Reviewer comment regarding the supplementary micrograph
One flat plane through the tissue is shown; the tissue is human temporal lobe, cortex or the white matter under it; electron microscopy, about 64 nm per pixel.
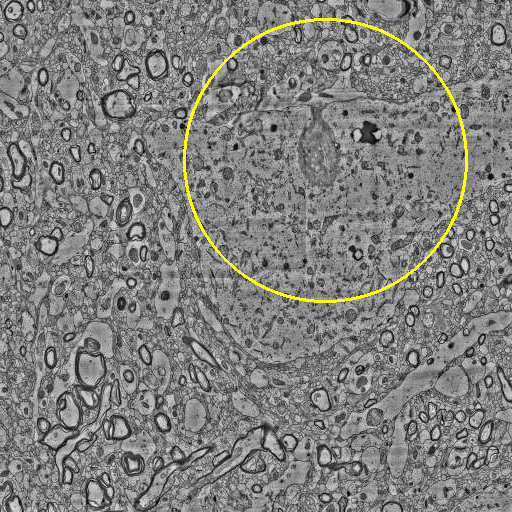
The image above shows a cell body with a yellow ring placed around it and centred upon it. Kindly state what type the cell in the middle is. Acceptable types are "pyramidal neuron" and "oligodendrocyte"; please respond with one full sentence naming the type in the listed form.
In the image above, the cell on which the yellow ring is centred is an oligodendrocyte.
